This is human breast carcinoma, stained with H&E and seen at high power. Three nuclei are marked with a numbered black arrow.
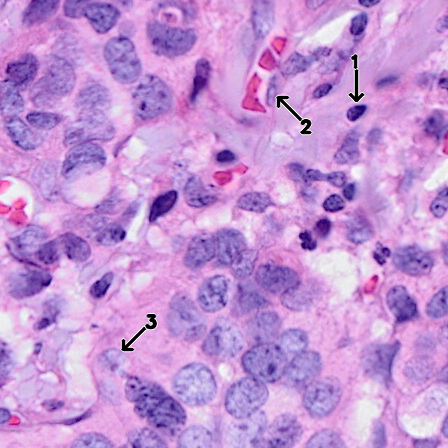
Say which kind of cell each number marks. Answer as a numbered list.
1. lymphocyte
2. endothelial cell
3. carcinoma cell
